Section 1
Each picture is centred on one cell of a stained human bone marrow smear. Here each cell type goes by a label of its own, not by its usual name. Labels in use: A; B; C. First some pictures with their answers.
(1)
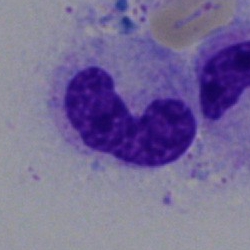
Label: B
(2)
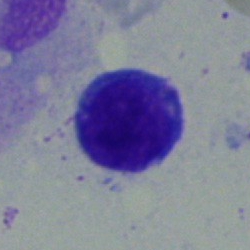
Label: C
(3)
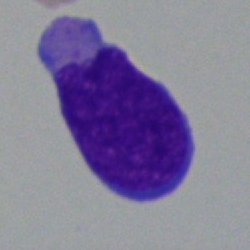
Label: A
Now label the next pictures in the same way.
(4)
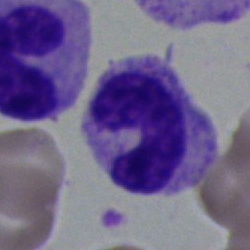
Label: B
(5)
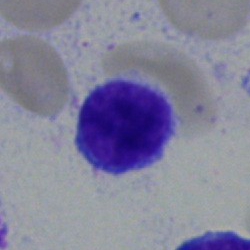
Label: C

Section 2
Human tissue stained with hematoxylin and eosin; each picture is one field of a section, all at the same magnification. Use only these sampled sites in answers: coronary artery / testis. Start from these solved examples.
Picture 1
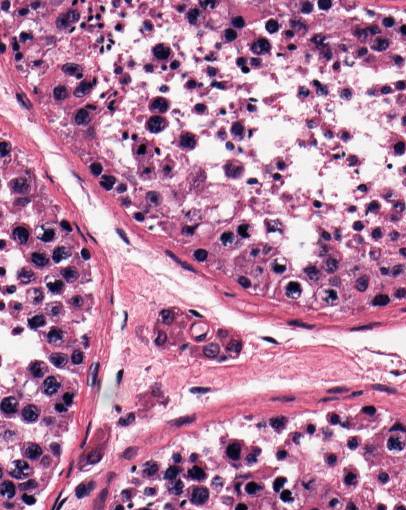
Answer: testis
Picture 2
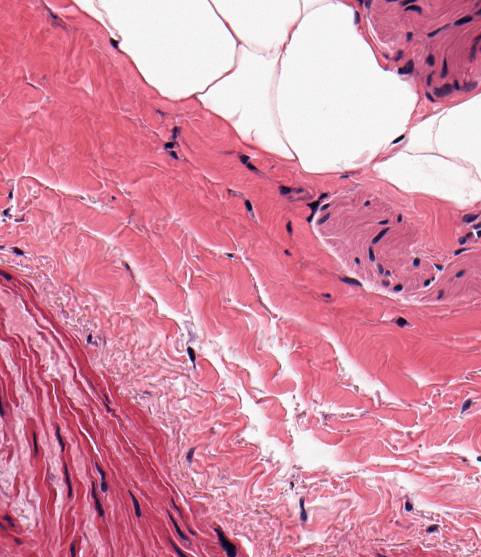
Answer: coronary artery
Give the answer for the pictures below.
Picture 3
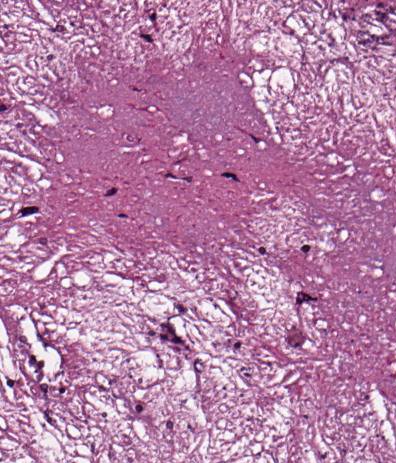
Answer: coronary artery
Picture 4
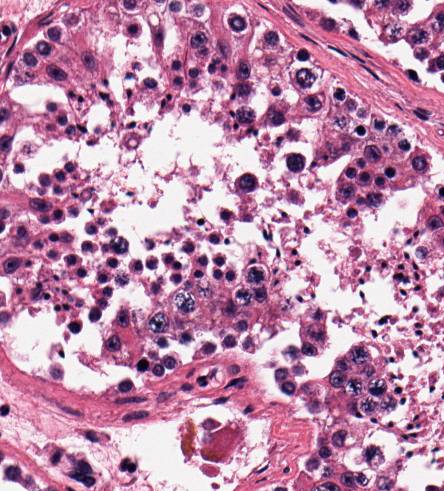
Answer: testis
